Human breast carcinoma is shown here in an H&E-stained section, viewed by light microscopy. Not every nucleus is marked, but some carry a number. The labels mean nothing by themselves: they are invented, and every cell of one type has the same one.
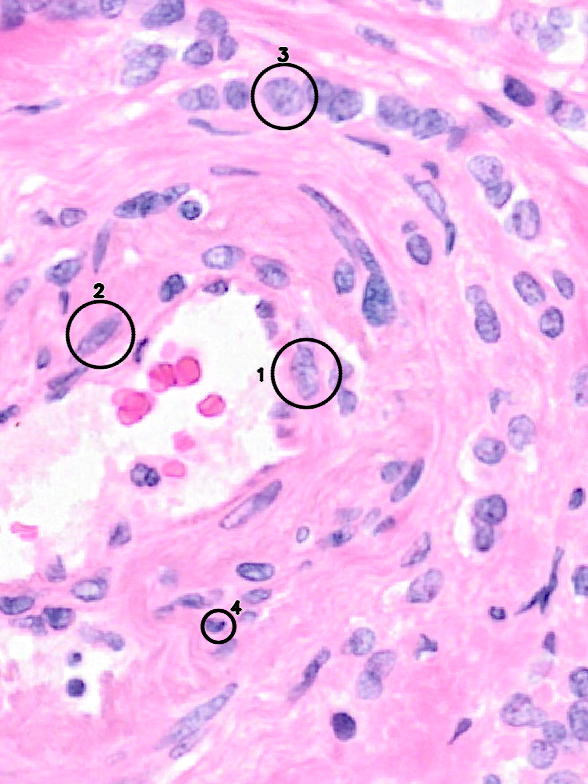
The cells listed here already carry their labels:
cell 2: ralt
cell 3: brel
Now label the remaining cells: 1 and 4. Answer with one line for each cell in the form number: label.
1: ralt
4: ralt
